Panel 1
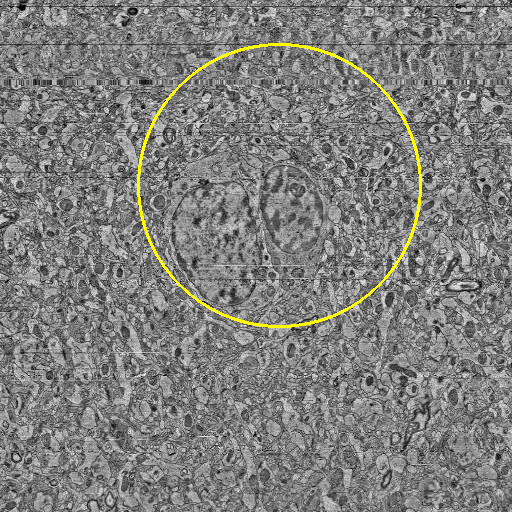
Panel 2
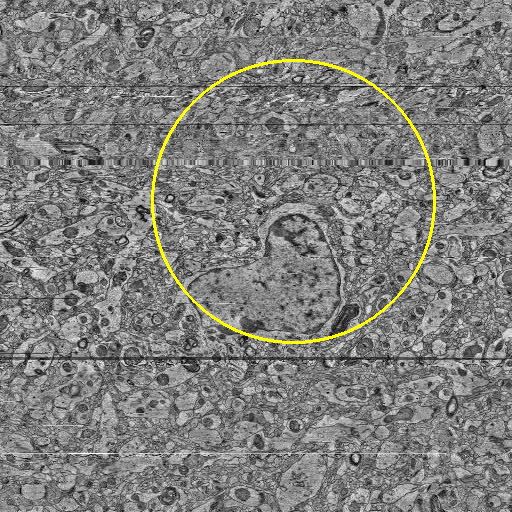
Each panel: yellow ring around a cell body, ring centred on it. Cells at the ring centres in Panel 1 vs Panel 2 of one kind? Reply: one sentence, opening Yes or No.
No, Panel 1 and Panel 2 have cells of two kinds at the ring centres.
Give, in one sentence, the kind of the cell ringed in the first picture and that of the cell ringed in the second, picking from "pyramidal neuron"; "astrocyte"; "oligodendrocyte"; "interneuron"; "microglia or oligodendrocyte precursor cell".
For the first picture it is an oligodendrocyte; for the second, a microglial cell or oligodendrocyte precursor cell.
